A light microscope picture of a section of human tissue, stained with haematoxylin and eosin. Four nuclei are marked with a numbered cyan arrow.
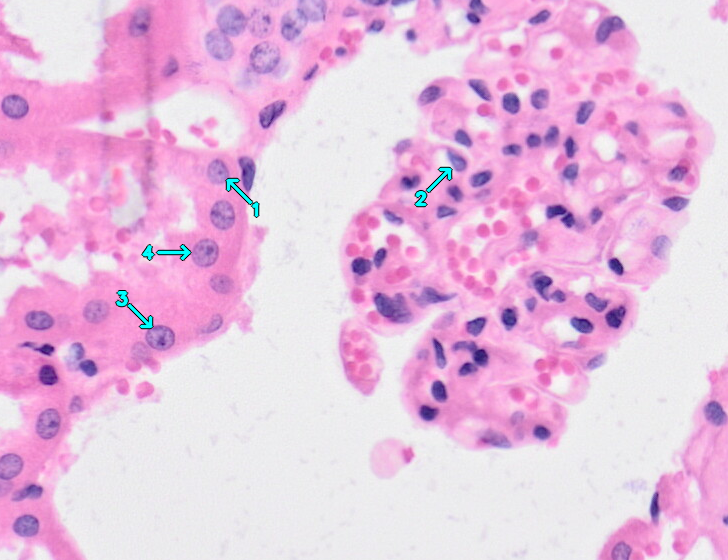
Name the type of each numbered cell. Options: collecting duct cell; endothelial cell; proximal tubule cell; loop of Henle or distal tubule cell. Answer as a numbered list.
1. proximal tubule cell
2. endothelial cell
3. proximal tubule cell
4. proximal tubule cell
